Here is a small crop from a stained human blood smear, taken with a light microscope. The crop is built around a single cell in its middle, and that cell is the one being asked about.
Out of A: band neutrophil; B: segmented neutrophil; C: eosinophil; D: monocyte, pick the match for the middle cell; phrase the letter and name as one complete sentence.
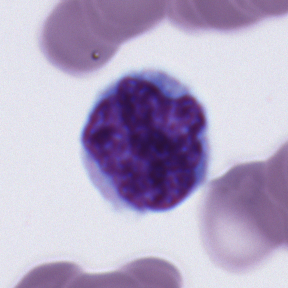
This one is option D, since the cell at the center is a monocyte.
